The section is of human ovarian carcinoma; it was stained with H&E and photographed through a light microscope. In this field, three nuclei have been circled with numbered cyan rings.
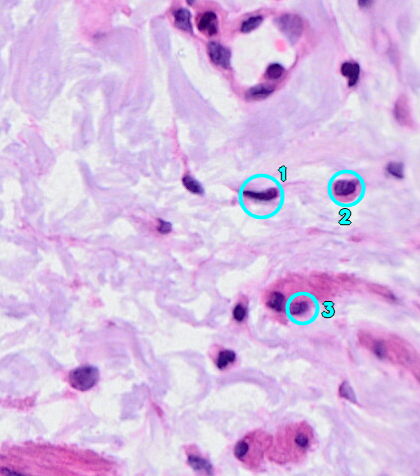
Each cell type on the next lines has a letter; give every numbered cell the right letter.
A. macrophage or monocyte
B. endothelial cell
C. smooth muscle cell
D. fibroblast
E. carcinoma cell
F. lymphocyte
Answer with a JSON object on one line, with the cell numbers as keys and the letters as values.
{"1": "D", "2": "A", "3": "C"}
